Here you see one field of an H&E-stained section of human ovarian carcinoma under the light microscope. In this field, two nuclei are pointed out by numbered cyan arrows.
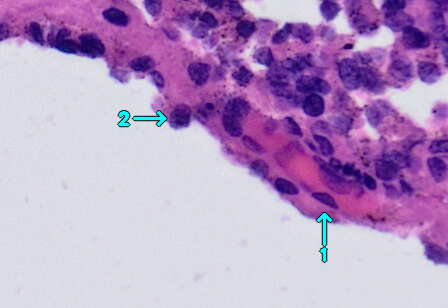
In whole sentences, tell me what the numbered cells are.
Cell 1 is an endothelial cell and cell 2 is a carcinoma cell.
